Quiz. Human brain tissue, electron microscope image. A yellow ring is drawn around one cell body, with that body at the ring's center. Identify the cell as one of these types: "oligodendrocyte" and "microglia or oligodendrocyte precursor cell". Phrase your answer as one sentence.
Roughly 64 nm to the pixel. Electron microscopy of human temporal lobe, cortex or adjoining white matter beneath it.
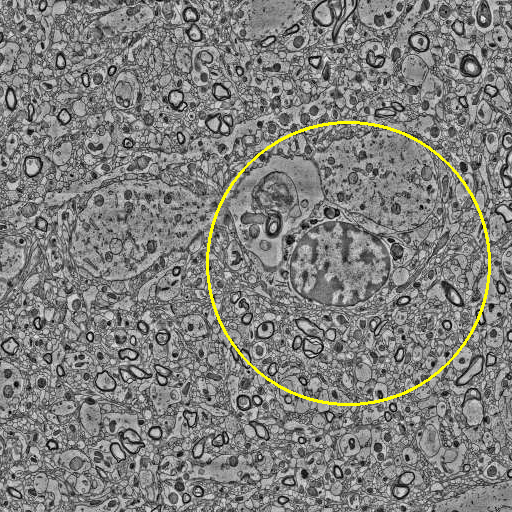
At the center of the ring sits a microglial cell or oligodendrocyte precursor cell.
